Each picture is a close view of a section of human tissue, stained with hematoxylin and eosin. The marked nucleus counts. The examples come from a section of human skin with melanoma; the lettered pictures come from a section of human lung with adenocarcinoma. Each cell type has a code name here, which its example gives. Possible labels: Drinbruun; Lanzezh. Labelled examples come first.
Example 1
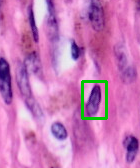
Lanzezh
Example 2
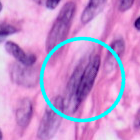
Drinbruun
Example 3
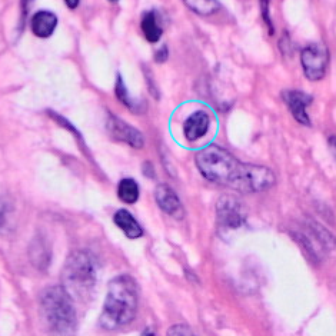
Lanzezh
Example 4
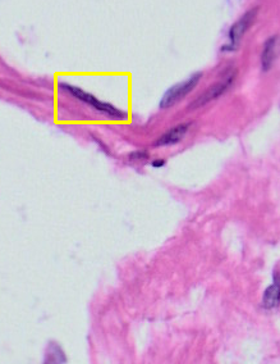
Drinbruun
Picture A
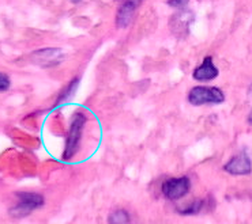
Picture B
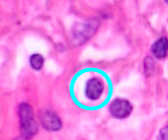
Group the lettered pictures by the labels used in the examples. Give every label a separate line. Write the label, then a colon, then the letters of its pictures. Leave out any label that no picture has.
Drinbruun: A
Lanzezh: B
